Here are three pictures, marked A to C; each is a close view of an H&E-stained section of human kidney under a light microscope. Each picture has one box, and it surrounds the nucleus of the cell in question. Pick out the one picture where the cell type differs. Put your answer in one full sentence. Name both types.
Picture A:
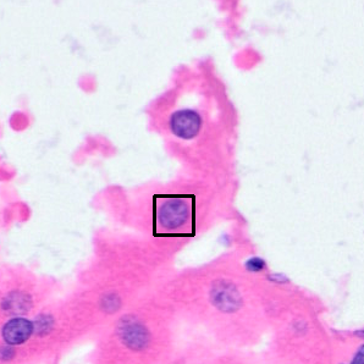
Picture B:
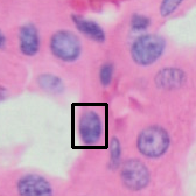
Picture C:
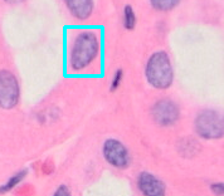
The others show “loop of Henle or distal tubule cells”, but picture A shows a proximal tubule cell.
